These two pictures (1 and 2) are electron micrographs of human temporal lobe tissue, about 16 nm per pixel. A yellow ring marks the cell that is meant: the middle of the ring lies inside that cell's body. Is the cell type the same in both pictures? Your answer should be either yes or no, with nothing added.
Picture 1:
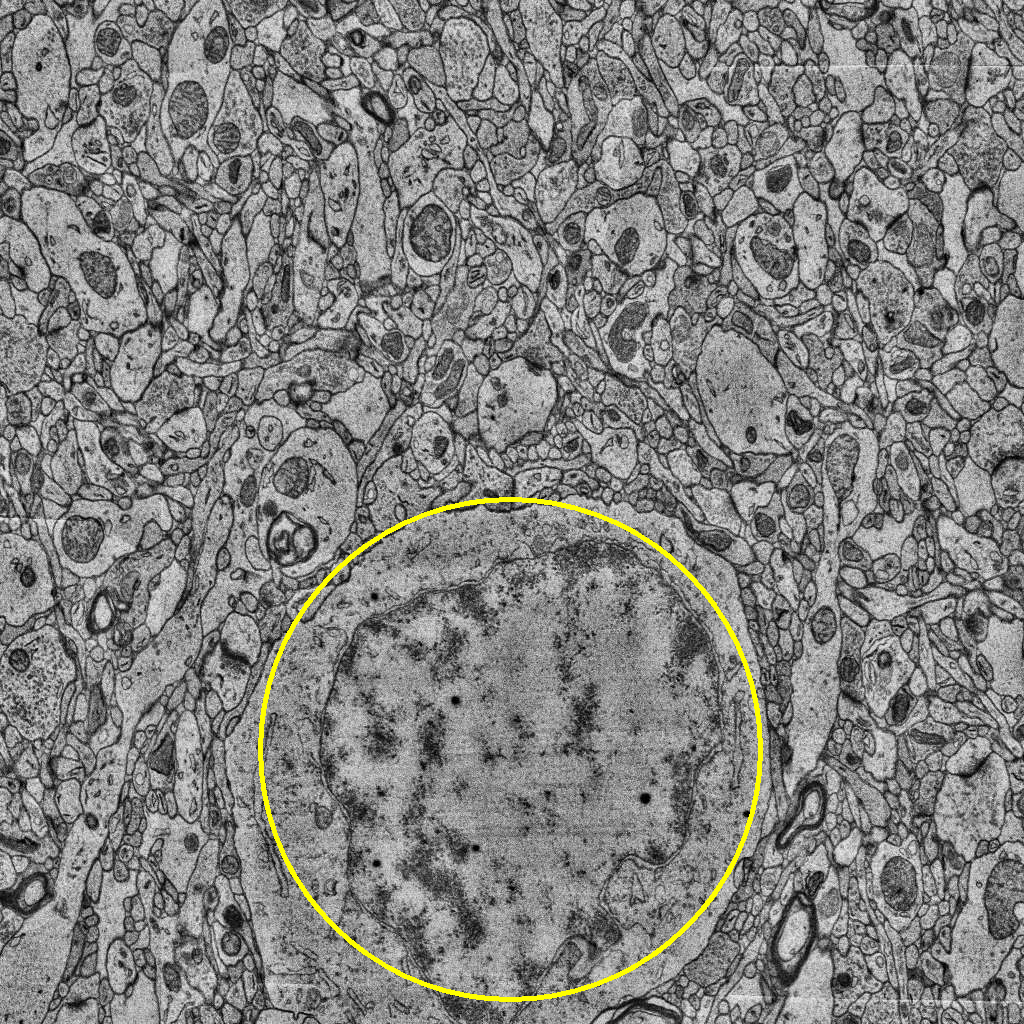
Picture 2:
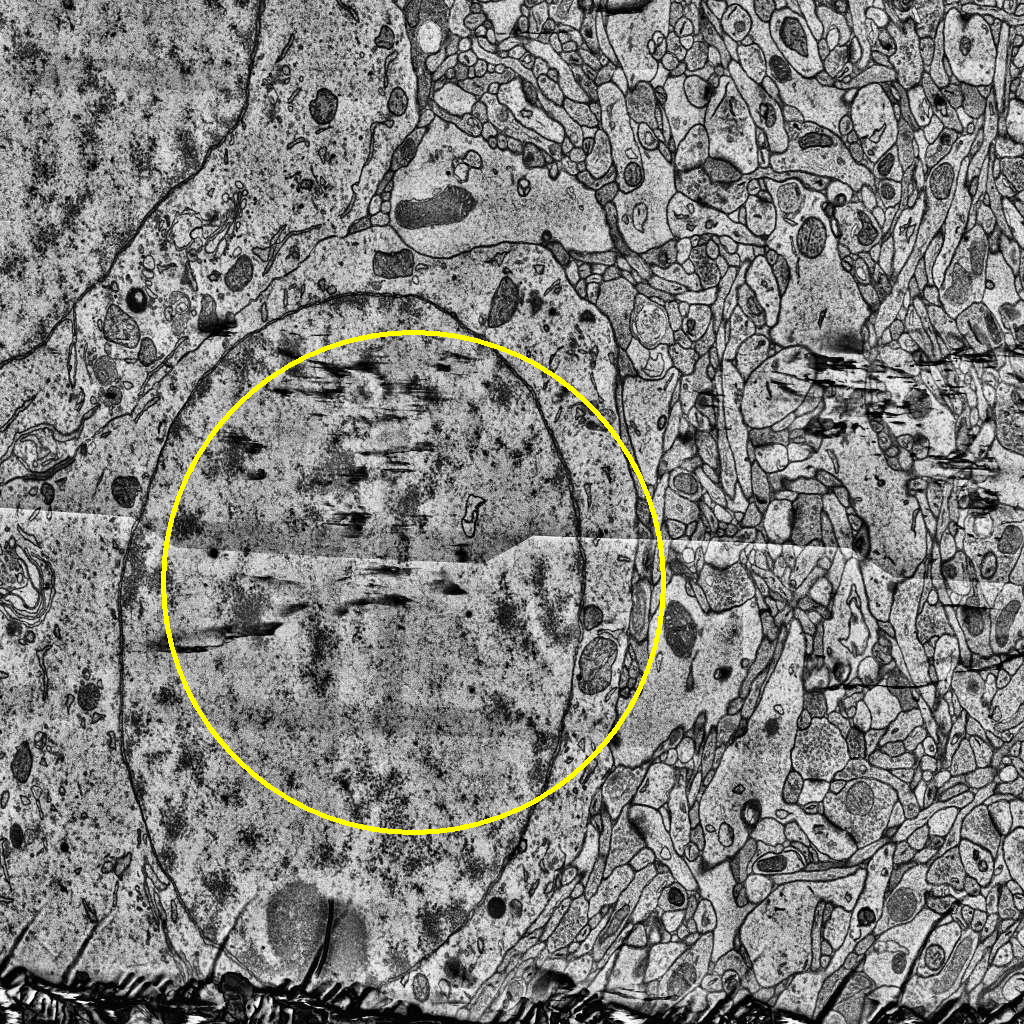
no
